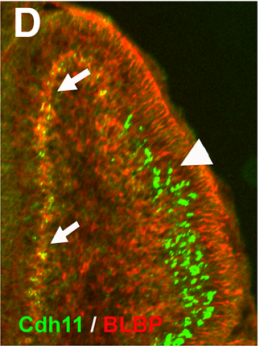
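This enlarged folium shows the outer cerebellar layers, where fine red radial striations of Burgmann glial cells cross toward the surface. Along the left side a line of cells appears yellowish where green and red overlap. On the right a dense cluster of bright green patches sits in a deeper layer and does not match the red striations. The outer rim of the folium is densely red.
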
